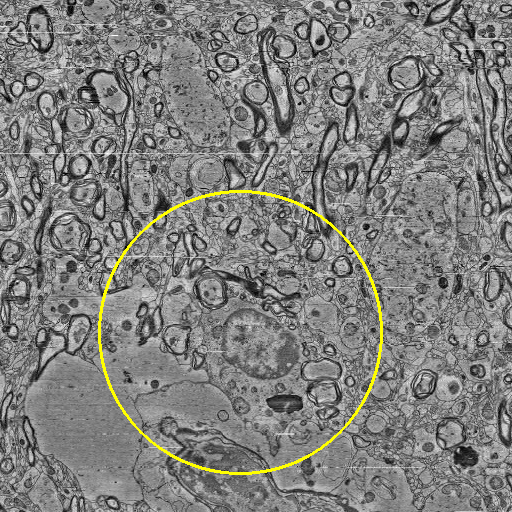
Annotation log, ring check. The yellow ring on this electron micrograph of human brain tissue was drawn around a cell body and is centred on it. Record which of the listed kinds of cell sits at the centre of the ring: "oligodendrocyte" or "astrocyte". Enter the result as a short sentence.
The cell at the centre of the ring is an oligodendrocyte.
